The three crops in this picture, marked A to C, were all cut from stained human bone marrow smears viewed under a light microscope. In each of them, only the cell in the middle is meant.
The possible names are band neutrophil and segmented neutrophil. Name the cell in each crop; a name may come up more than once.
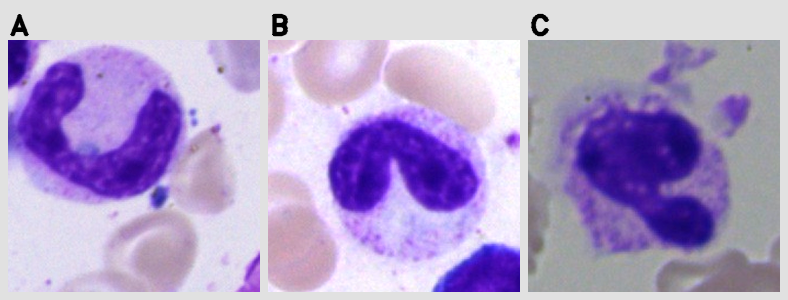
A: band neutrophil
B: band neutrophil
C: segmented neutrophil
